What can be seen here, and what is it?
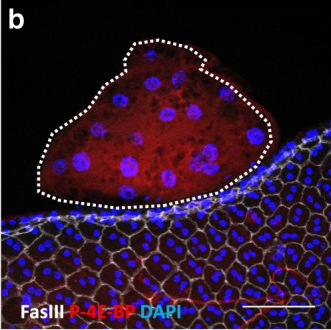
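The outlined mass is filled with red cytoplasmic staining containing dark granular spots and large, irregularly spaced blue nuclei. The underlying epithelium is a regular mosaic of small polygonal cells outlined in white, most containing two small blue nuclei. The tumour nuclei are several times larger than those of the neighbouring epithelial cells, and no white cell borders are seen within the mass.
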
